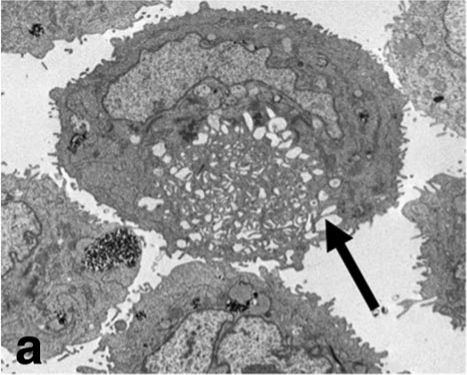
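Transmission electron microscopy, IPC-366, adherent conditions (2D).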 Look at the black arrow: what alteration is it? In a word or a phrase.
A: Empty cytoplasmic spaces.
